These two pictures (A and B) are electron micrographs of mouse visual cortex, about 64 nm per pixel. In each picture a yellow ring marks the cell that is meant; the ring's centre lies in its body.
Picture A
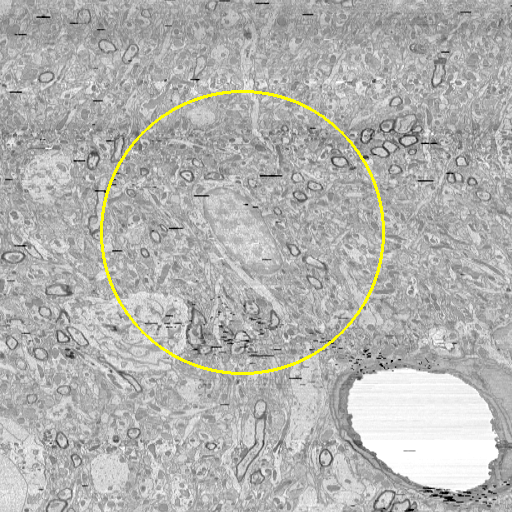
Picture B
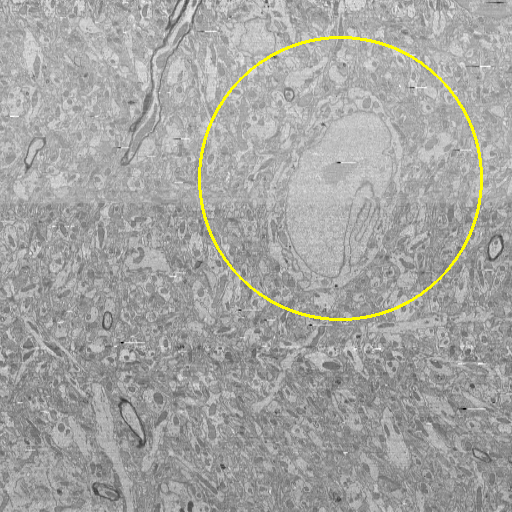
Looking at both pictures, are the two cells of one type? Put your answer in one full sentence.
No; the cell in picture A is an oligodendrocyte, while the one in picture B is an inhibitory neuron.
